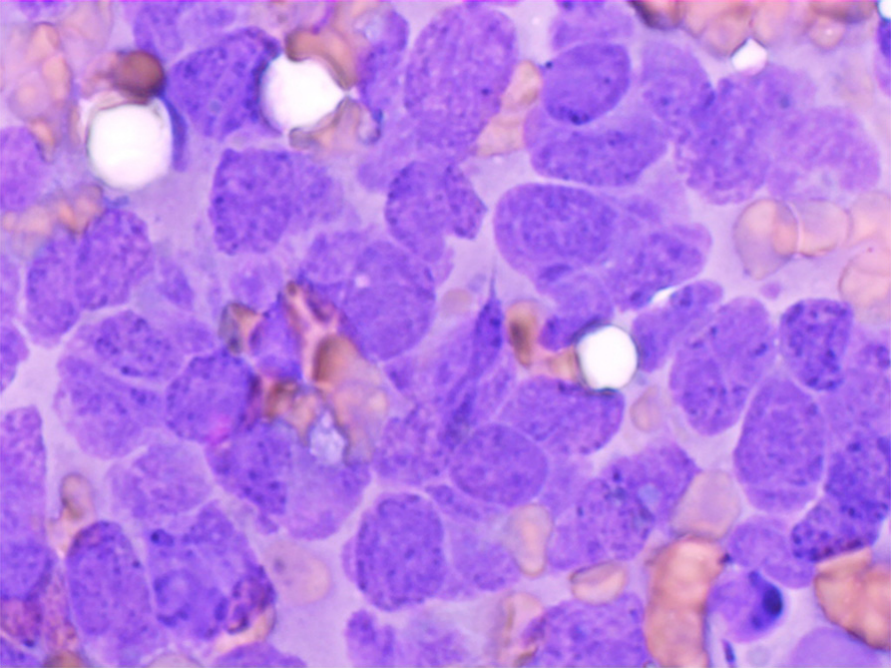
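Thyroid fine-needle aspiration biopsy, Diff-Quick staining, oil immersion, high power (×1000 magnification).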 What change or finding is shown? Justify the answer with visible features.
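Salt and pepper appearance. The chromatin in the purple nuclei is finely speckled with darker granules scattered over a lighter background. No prominent nucleoli stand out in most nuclei.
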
